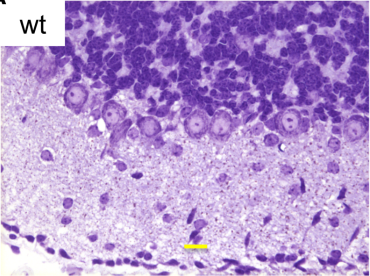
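This is the cerebellar cortex, and the large cells lined up in a single row are Purkinje neurons. At the top, the granular layer is crowded with small, dark, round nuclei. Below it the Purkinje cell bodies sit in one row, each a large rounded or flask-shaped cell with evenly stained violet cytoplasm and a big pale nucleus holding a dark nucleolus. Beneath them lies the broad, pale, finely fibrous molecular layer, with only a few scattered small nuclei.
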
